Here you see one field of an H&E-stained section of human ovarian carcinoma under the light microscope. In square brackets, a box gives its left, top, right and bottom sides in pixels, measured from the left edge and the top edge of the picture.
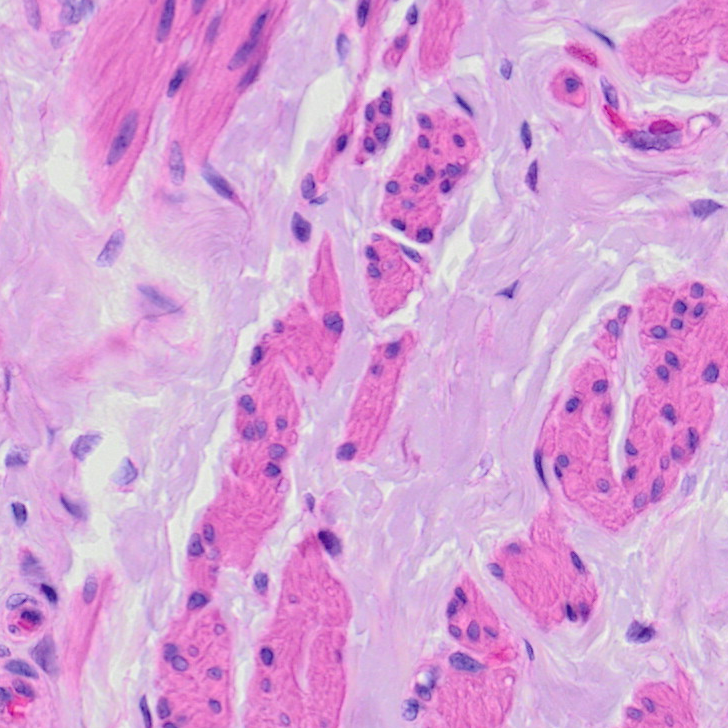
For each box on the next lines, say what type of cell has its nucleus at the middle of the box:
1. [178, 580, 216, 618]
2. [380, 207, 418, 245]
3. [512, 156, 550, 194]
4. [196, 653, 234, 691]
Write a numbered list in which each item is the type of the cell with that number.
1. smooth muscle cell
2. smooth muscle cell
3. fibroblast
4. smooth muscle cell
